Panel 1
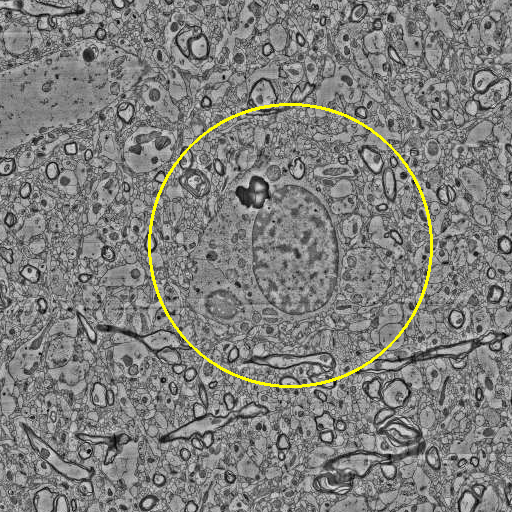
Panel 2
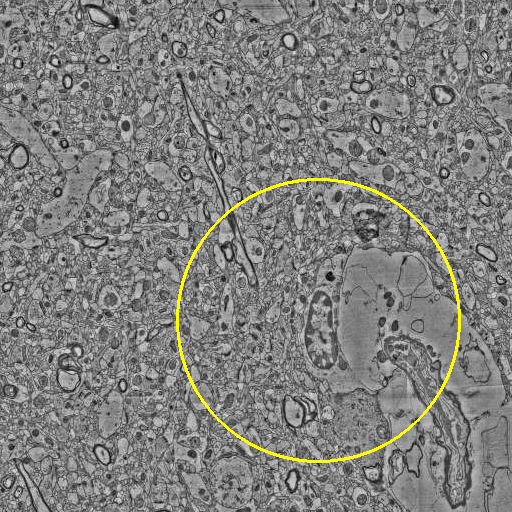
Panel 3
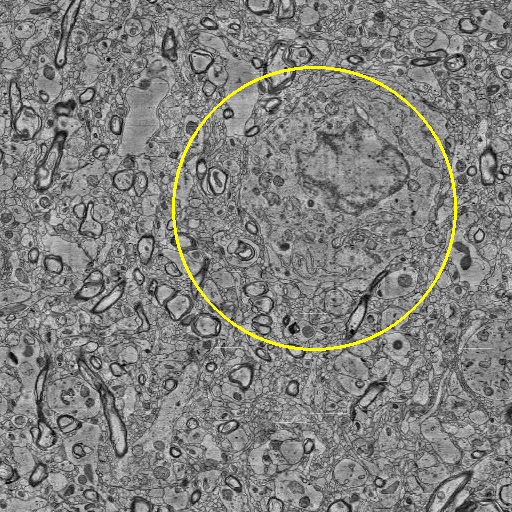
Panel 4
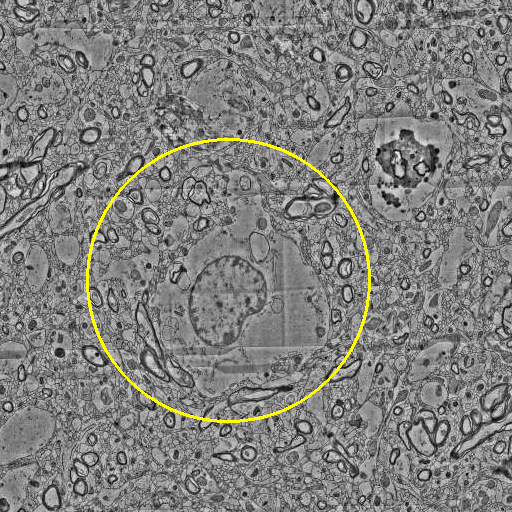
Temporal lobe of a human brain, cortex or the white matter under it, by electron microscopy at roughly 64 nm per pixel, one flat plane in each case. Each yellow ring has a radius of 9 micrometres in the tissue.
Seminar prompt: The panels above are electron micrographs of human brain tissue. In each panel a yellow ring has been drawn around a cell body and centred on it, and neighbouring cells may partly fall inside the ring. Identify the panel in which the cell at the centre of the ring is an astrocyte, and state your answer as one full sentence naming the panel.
Panel 4 has it at the centre of its ring.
